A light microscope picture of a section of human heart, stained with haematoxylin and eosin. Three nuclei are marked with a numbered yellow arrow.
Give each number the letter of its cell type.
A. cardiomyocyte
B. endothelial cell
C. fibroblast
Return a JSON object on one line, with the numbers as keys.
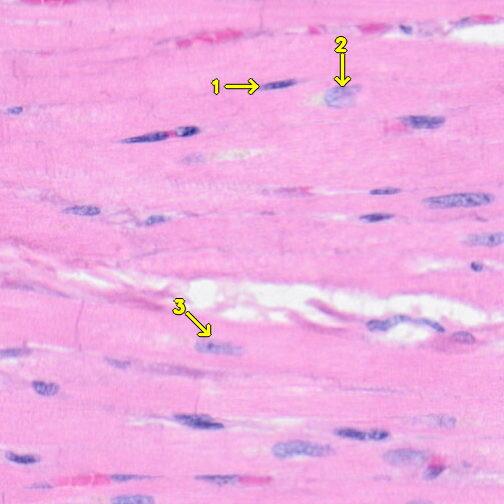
{"1": "B", "2": "A", "3": "A"}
